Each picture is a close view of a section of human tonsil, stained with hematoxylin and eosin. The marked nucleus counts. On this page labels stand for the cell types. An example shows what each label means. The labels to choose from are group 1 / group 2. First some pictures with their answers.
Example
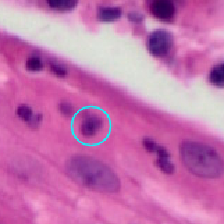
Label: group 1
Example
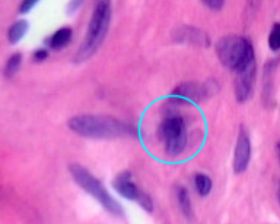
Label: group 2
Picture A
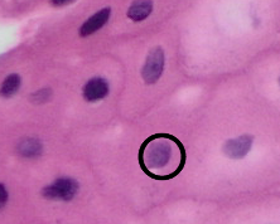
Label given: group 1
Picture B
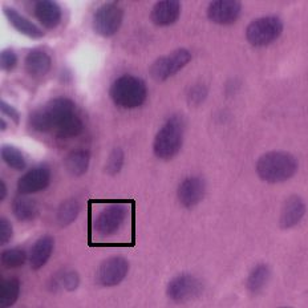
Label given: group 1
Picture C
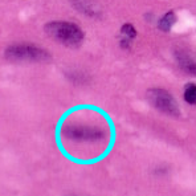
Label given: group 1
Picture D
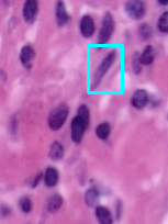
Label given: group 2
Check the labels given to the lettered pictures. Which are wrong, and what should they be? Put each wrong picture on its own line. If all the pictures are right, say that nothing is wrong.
None of the labels needs changing.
